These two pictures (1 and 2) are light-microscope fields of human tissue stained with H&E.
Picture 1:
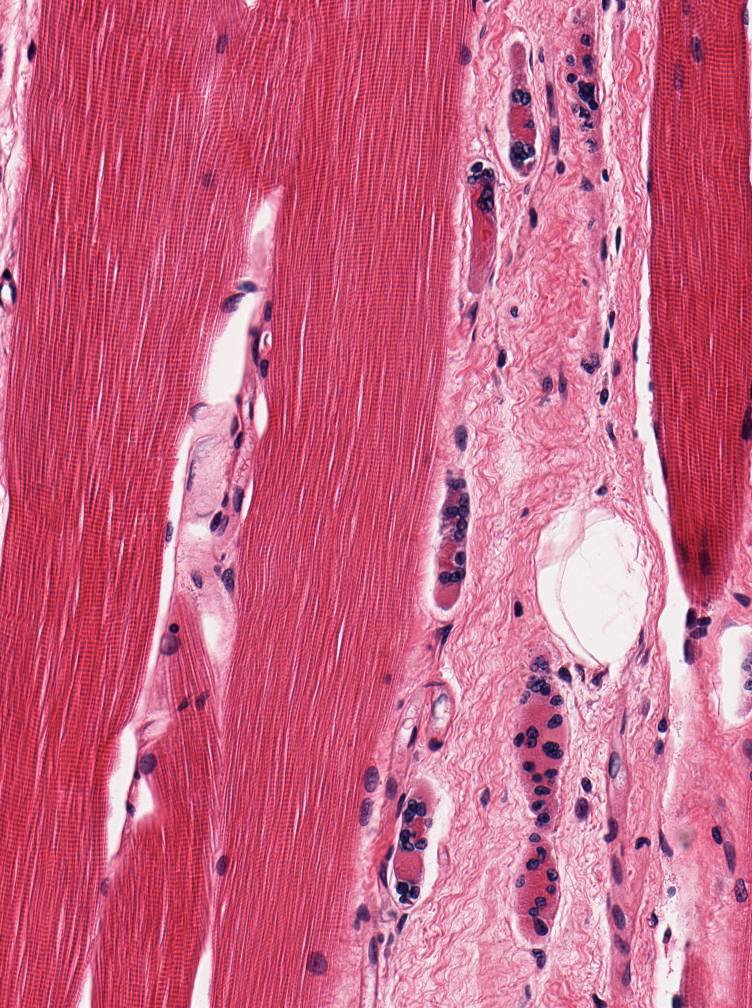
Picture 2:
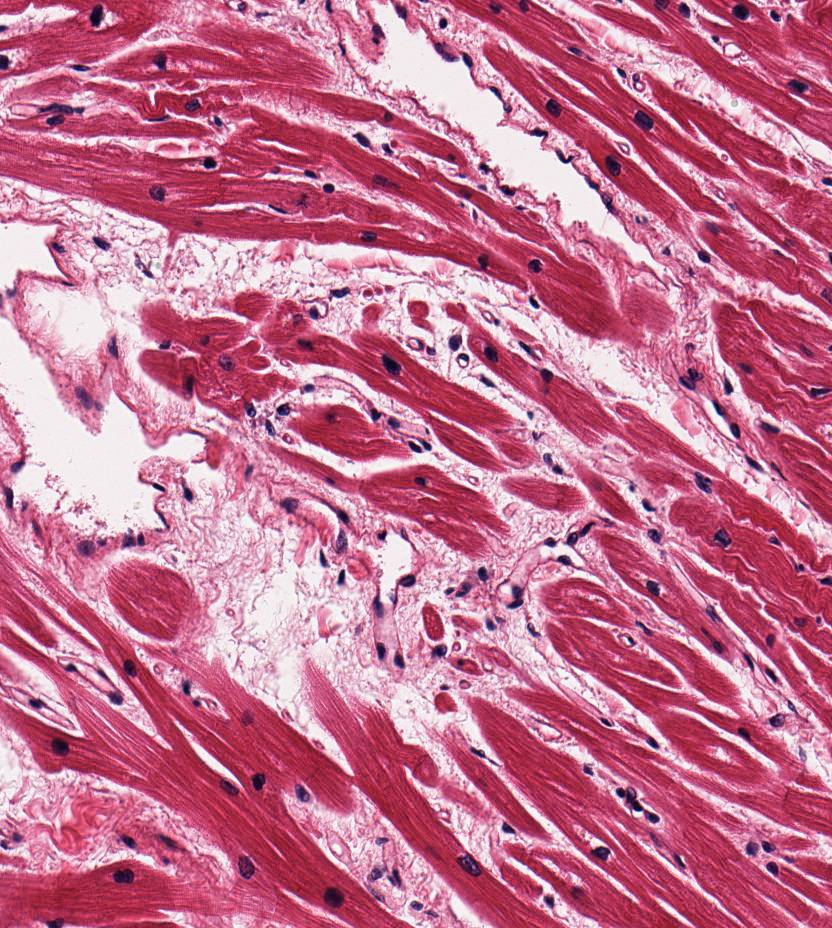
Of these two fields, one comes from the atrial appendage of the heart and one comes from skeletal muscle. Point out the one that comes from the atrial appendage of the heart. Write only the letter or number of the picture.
2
